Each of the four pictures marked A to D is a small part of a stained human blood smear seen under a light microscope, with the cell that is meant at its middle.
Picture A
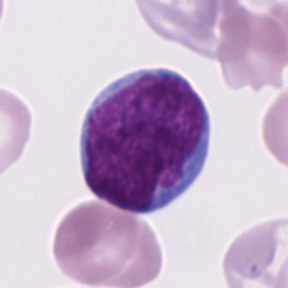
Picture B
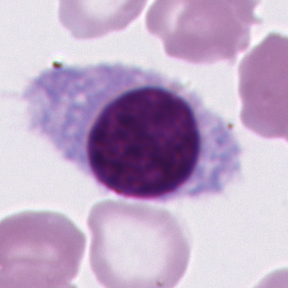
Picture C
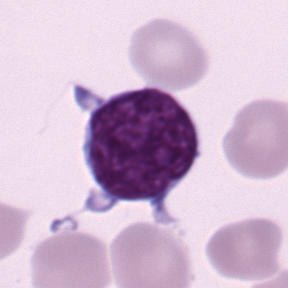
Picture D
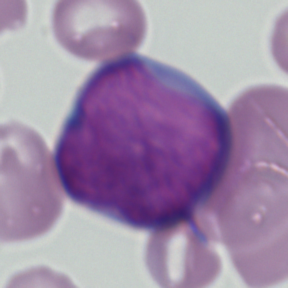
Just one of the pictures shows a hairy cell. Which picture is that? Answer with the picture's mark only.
B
